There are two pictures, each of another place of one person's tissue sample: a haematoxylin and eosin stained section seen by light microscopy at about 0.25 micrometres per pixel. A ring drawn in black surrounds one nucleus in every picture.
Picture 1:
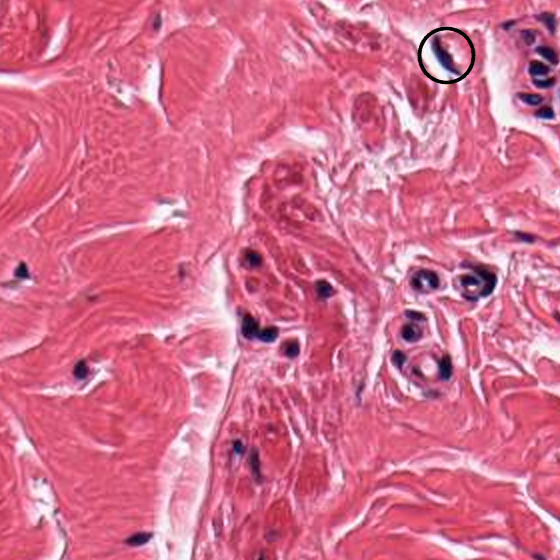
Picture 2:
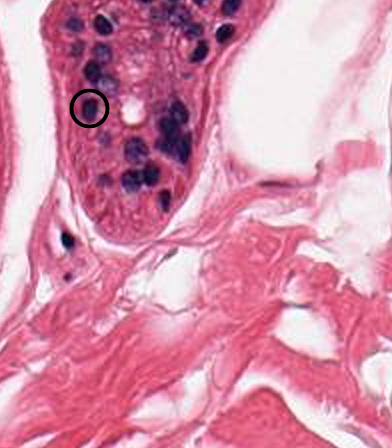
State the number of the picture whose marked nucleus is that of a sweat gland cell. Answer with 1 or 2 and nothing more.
2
